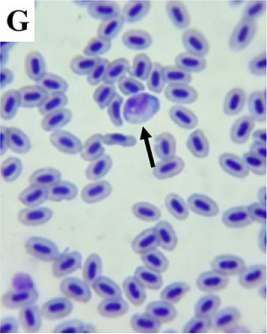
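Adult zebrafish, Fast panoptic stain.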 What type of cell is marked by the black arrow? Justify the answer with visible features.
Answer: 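Lymphocytes. Its round purple nucleus takes up most of the cell.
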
